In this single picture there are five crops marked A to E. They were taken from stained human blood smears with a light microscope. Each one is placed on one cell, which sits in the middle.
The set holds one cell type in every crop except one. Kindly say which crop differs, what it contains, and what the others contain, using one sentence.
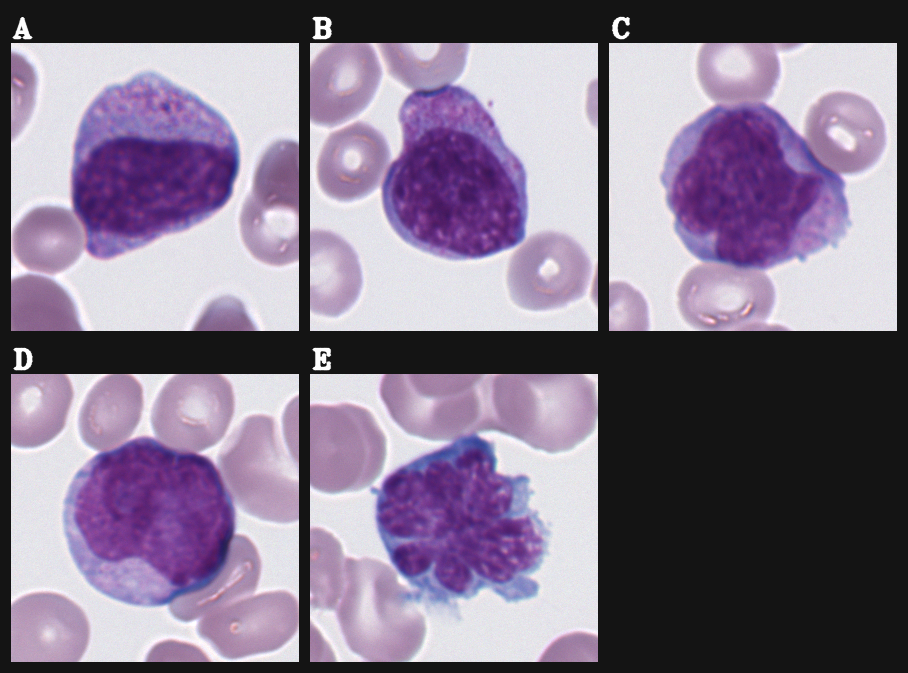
Shown in crop E is a monocyte, in contrast to the atypical promyelocytes of all the other crops.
